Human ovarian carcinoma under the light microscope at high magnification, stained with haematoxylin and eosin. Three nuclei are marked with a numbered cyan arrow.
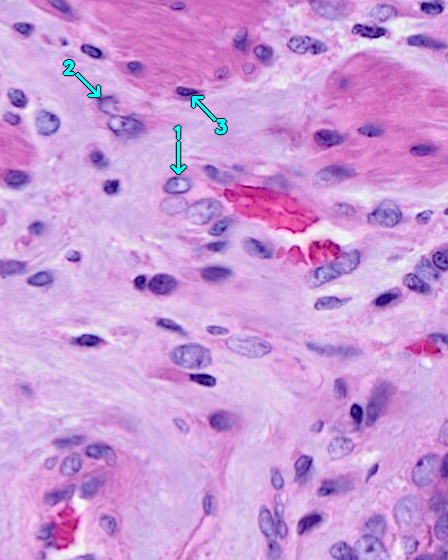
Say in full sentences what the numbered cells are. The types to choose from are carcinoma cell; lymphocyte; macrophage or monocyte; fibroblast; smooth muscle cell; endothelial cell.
Cells 1 and 2 are endothelial cells. Cell 3 is a smooth muscle cell.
